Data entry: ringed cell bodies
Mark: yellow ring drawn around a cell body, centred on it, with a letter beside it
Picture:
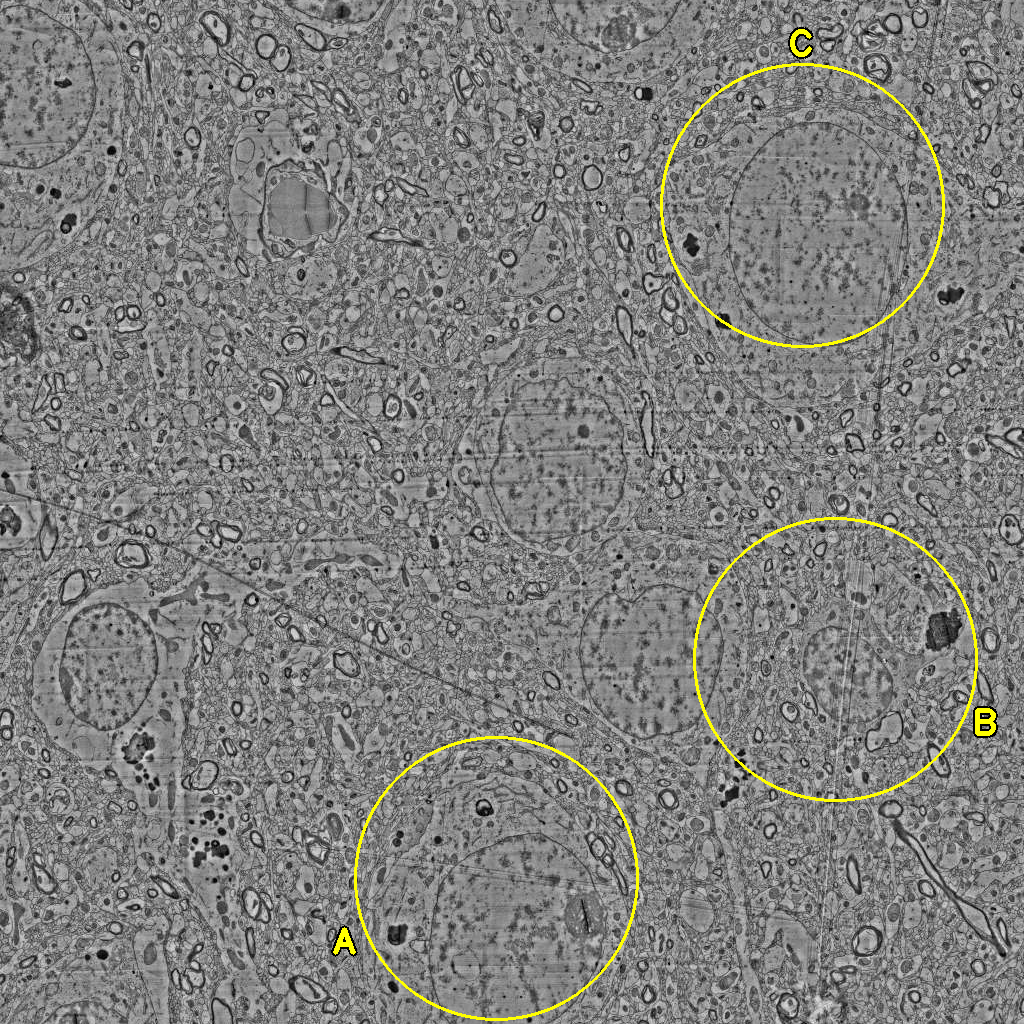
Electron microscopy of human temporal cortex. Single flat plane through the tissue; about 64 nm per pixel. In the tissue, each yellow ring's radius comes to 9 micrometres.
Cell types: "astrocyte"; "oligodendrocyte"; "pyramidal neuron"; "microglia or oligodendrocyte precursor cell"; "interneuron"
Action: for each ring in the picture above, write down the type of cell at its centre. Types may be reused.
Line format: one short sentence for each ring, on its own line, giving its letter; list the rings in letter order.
For ring A, the cell at the centre is a pyramidal neuron.
For ring B, the cell at the centre is an oligodendrocyte.
For ring C, the cell at the centre is a pyramidal neuron.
